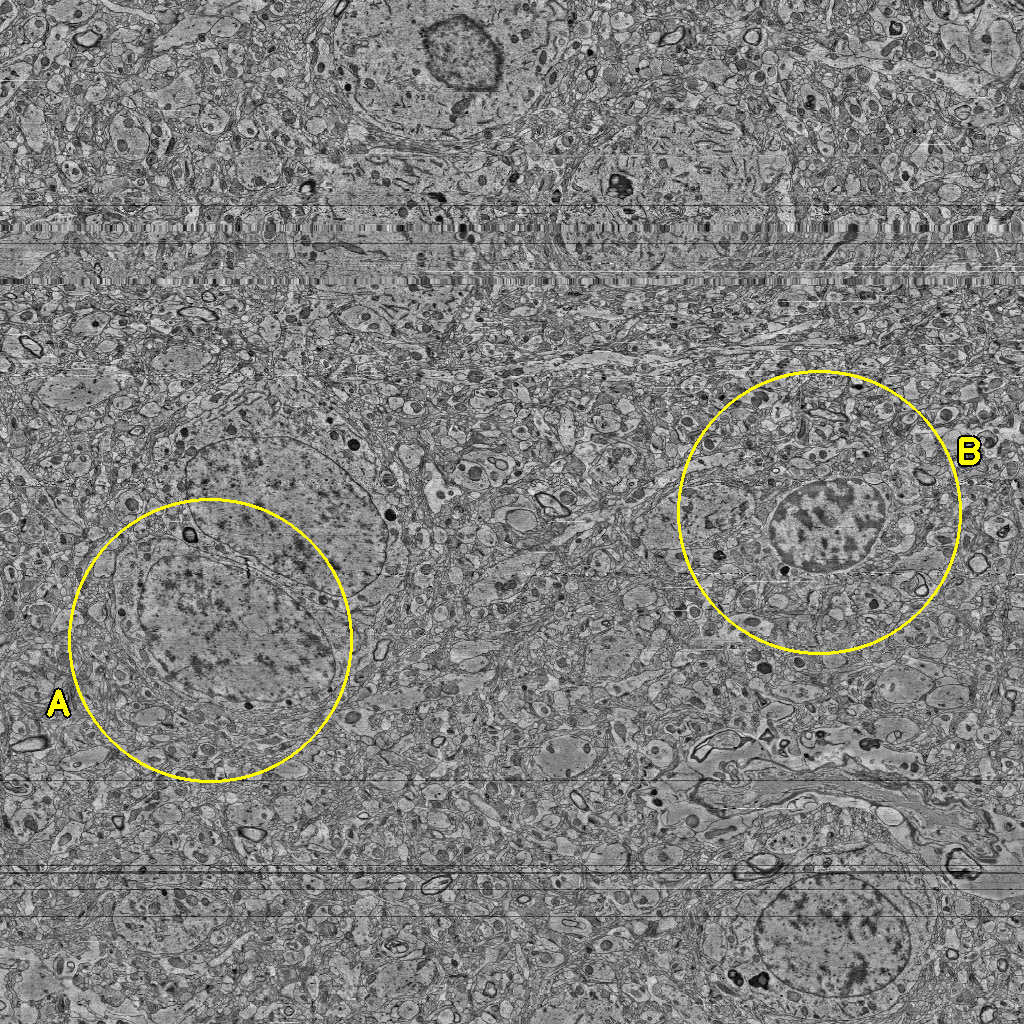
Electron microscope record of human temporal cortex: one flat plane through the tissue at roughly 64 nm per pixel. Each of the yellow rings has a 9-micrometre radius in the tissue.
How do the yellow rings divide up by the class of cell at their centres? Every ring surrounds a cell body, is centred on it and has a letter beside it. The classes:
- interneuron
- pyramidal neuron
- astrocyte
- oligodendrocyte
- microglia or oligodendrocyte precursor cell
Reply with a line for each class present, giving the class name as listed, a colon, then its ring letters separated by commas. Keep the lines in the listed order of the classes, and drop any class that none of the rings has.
pyramidal neuron: A
microglia or oligodendrocyte precursor cell: B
